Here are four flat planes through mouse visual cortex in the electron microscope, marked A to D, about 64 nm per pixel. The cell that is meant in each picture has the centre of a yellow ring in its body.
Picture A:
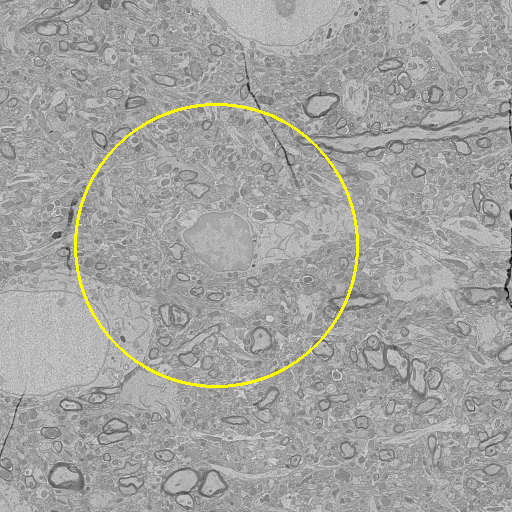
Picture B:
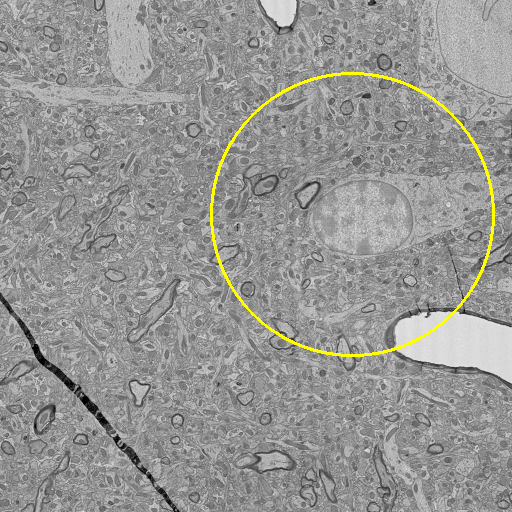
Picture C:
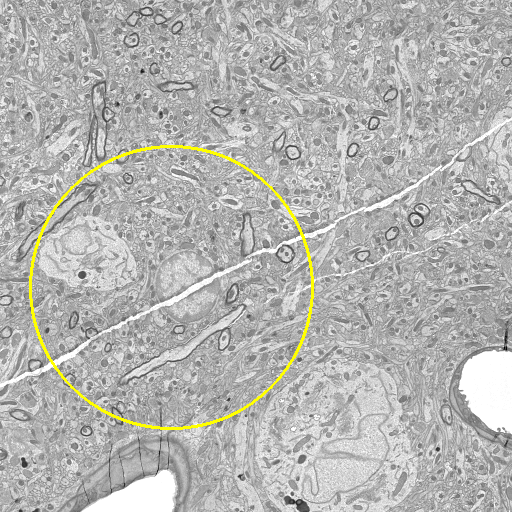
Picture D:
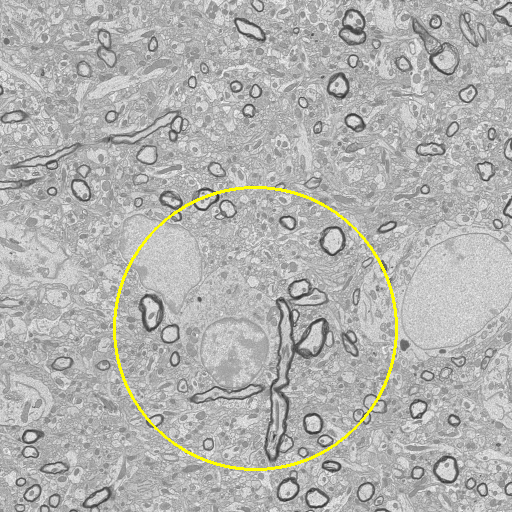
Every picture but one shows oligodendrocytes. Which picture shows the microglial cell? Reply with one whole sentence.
The cell in picture A is the microglial cell.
